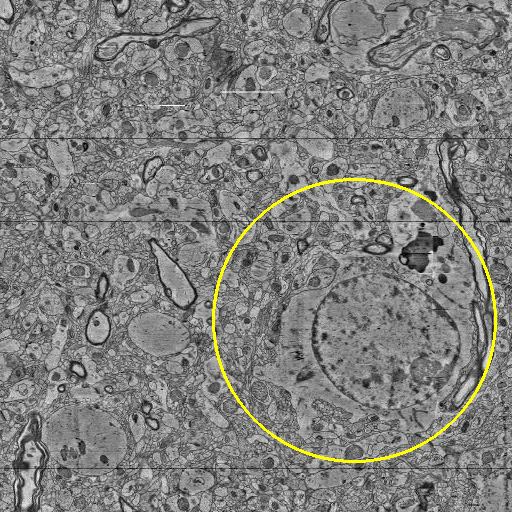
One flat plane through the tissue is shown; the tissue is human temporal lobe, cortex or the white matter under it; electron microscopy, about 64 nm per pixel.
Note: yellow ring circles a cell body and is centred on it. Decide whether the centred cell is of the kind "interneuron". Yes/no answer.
No, the centred cell is of another kind.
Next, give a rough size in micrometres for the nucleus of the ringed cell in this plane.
The nucleus measures about 9 micrometers across in this plane.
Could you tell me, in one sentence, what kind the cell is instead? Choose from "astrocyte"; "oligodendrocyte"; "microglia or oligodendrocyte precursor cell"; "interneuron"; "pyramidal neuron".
The cell enclosed by the ring is an astrocyte.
